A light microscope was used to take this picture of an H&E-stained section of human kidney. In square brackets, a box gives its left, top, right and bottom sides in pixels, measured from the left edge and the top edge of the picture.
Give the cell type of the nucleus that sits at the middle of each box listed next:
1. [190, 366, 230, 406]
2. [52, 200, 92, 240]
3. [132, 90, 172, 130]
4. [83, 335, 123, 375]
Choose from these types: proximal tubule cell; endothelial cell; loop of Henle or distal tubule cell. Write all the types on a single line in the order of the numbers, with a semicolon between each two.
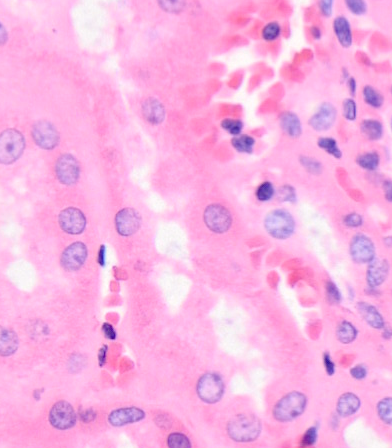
proximal tubule cell; proximal tubule cell; proximal tubule cell; endothelial cell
